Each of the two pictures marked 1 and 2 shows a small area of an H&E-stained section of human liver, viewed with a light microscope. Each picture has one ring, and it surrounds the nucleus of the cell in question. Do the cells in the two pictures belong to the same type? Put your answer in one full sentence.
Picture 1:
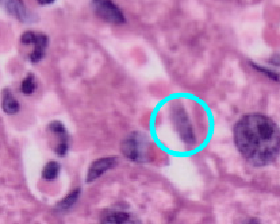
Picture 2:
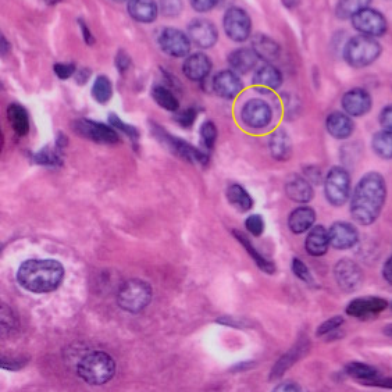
No; the cell in picture 1 is a Kupffer cell, while the one in picture 2 is a cholangiocyte.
